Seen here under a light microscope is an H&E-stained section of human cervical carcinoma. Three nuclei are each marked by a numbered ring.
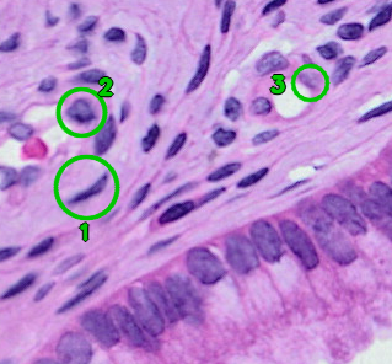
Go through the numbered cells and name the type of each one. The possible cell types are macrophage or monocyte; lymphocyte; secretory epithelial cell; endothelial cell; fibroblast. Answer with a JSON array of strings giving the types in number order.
["fibroblast", "endothelial cell", "endothelial cell"]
